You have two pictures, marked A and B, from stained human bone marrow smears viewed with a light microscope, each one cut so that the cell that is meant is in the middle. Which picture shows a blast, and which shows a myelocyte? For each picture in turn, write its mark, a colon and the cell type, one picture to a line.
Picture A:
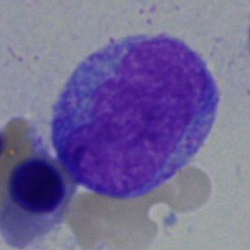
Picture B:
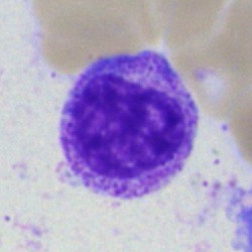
A: blast
B: myelocyte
